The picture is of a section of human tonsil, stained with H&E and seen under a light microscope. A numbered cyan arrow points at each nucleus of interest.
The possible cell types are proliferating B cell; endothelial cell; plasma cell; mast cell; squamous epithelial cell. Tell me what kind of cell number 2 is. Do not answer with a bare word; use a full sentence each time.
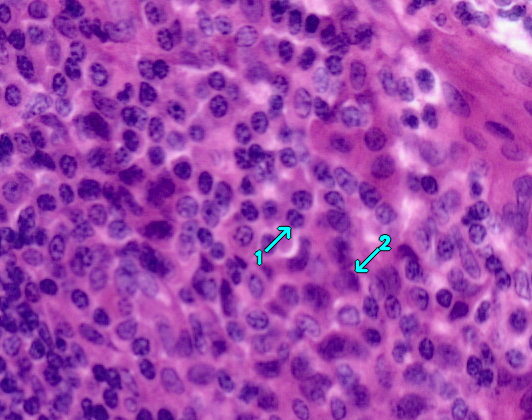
The marked cell bearing number 2 is a squamous epithelial cell.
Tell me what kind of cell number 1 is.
That cell with number 1 is a plasma cell.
